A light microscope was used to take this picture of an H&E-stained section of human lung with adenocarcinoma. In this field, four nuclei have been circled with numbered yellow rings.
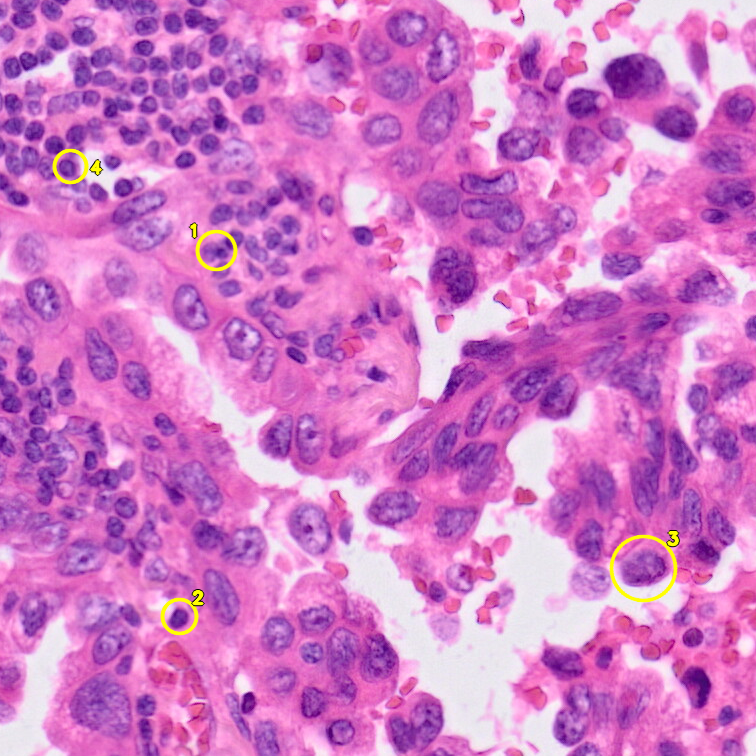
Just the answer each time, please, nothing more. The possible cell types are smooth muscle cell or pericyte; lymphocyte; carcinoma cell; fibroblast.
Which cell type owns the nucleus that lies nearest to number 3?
carcinoma cell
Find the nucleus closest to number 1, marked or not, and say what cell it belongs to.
lymphocyte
